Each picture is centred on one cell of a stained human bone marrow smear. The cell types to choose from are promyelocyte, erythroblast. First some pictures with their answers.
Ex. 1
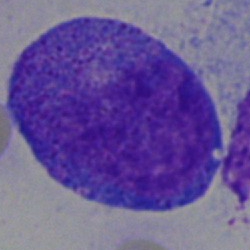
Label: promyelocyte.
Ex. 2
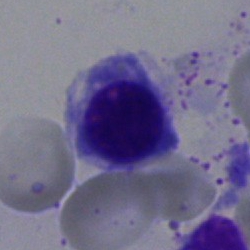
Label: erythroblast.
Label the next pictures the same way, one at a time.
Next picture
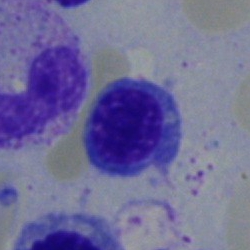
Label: erythroblast.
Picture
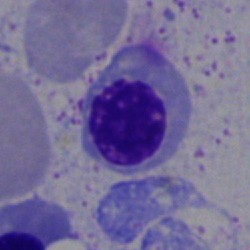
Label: erythroblast.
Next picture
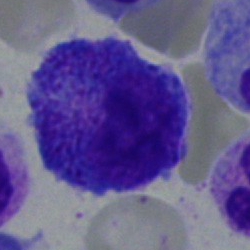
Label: promyelocyte.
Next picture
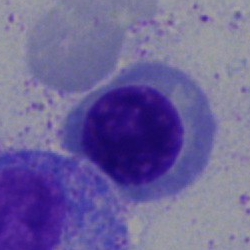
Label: erythroblast.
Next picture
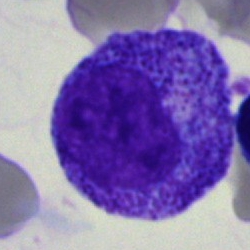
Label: promyelocyte.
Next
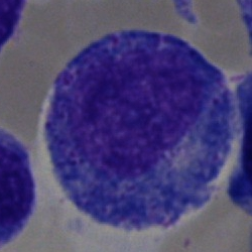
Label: promyelocyte.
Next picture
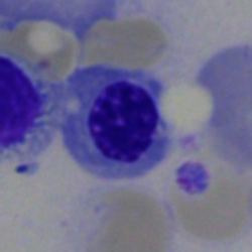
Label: erythroblast.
